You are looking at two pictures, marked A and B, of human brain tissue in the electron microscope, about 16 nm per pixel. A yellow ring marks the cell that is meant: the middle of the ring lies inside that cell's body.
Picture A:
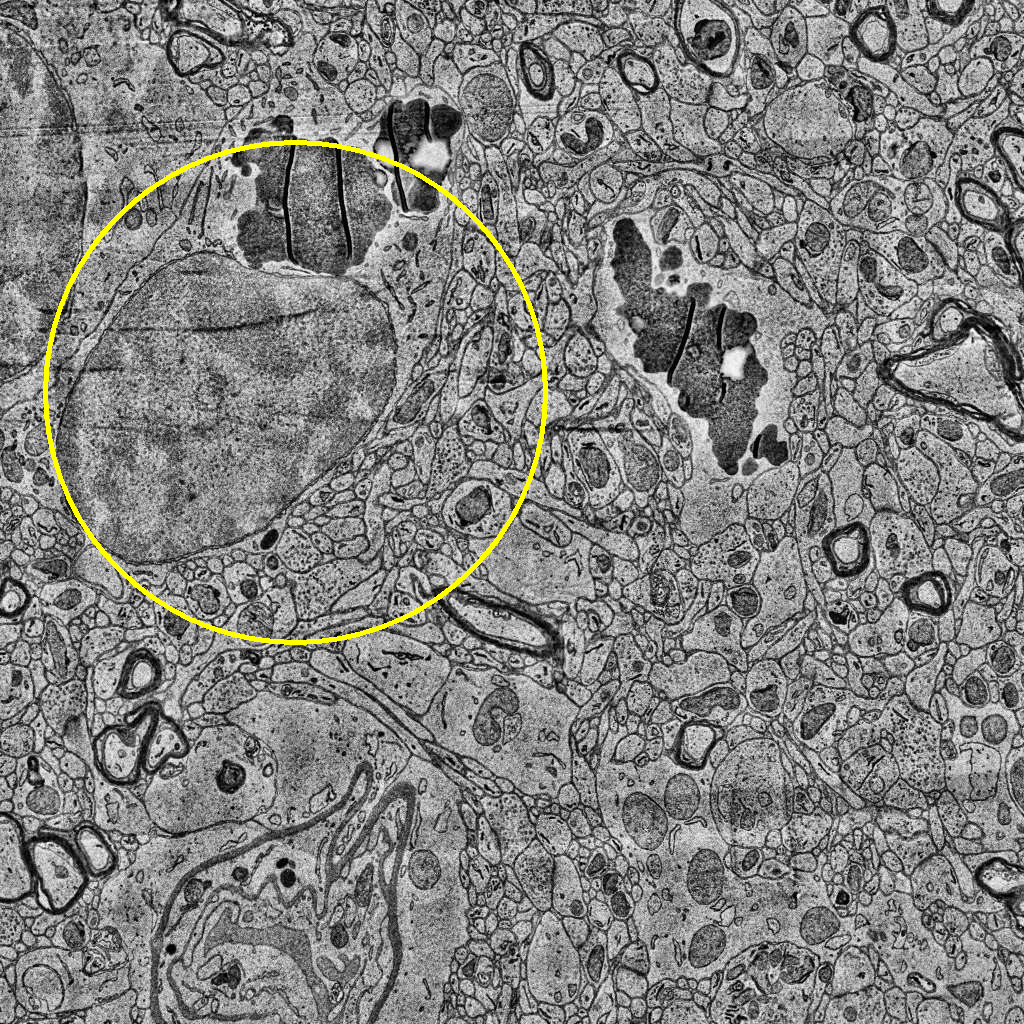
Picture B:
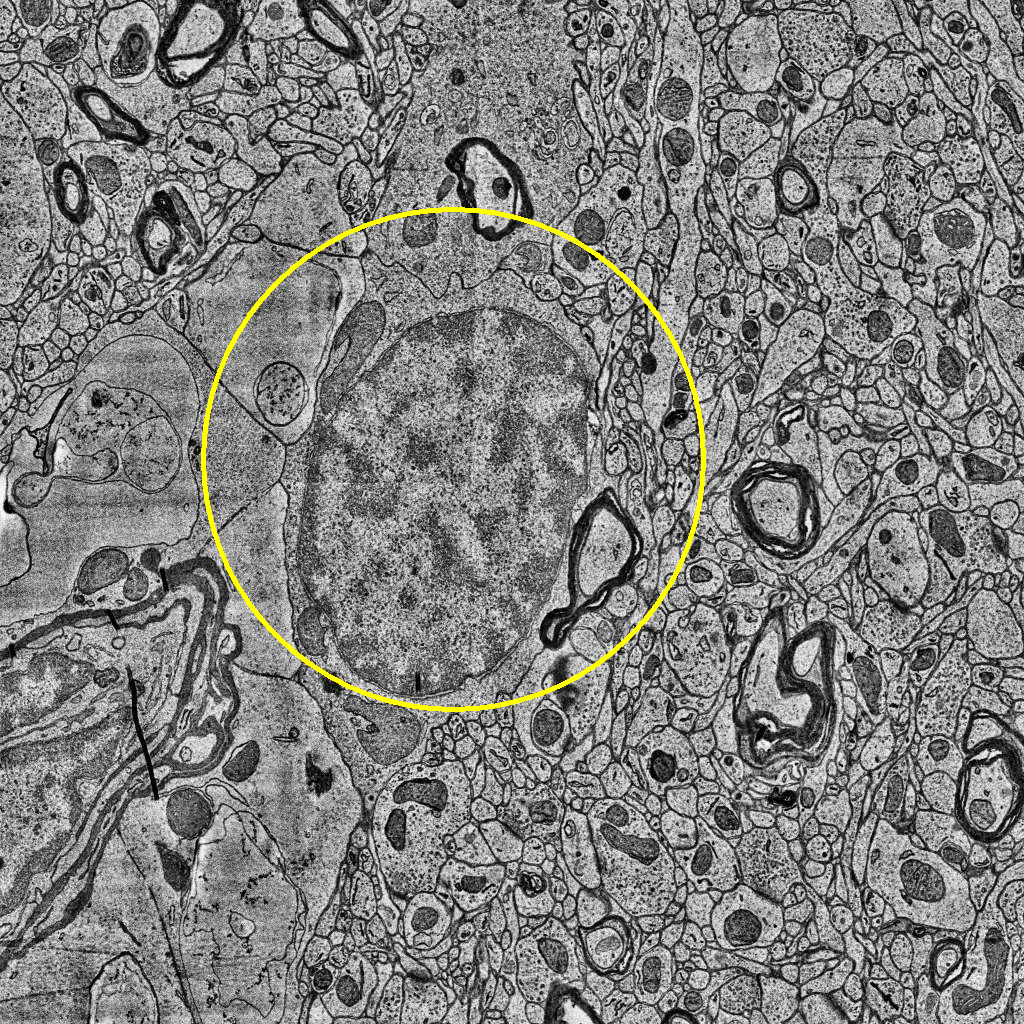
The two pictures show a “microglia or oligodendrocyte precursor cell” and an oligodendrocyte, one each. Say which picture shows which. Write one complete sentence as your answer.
The cell in picture A is a “microglia or oligodendrocyte precursor cell”, and the one in picture B is an oligodendrocyte.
